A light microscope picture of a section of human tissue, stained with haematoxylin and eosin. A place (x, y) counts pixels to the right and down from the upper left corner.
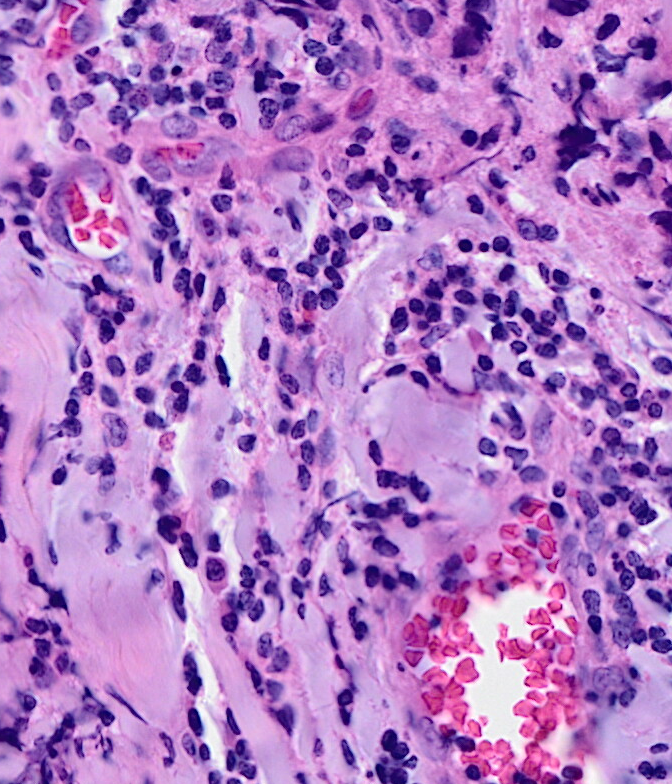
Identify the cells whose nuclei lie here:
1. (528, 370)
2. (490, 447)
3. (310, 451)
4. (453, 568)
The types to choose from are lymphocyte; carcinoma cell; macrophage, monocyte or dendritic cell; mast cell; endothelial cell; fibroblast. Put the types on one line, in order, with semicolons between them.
lymphocyte; lymphocyte; lymphocyte; endothelial cell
